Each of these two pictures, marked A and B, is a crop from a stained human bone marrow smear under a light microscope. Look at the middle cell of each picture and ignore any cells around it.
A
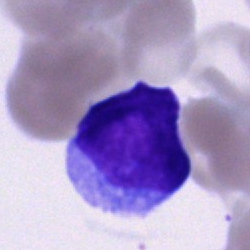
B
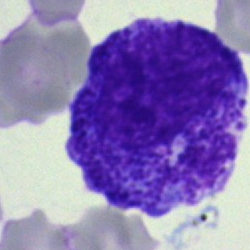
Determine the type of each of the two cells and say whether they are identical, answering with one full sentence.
No, a blast occupies the middle of crop A, and a promyelocyte the middle of crop B.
